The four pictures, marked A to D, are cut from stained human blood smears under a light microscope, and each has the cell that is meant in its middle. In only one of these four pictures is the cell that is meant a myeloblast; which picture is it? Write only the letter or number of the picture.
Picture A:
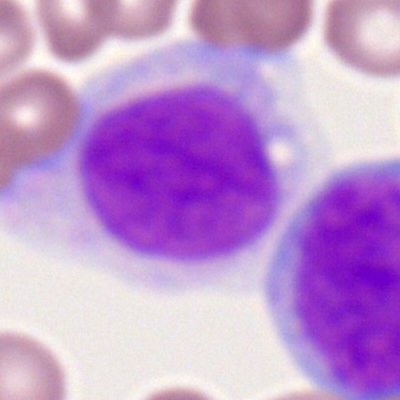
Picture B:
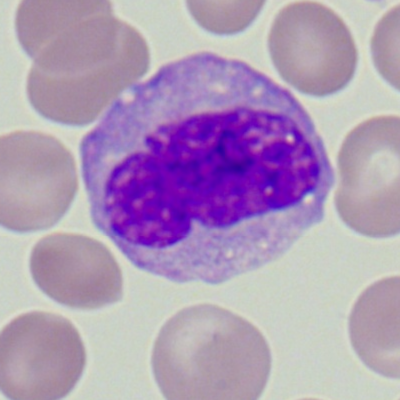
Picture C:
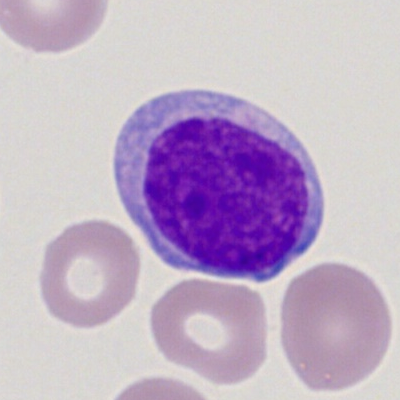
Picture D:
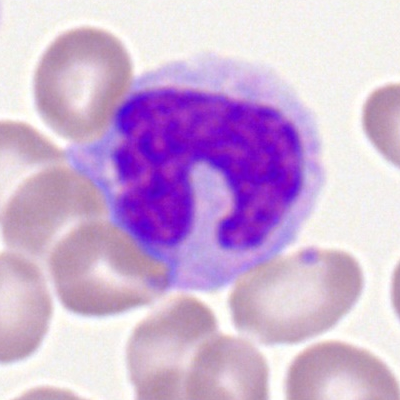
C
